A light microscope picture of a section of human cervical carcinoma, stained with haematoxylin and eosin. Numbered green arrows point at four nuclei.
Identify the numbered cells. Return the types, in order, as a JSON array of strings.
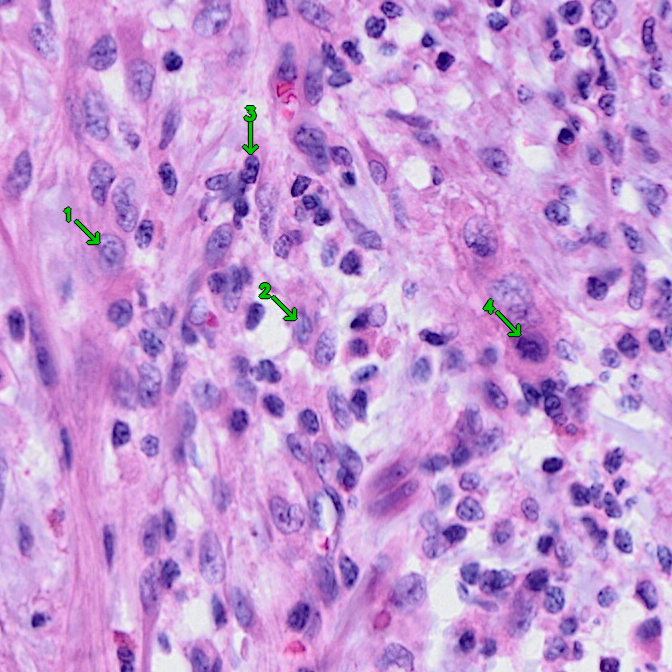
["endothelial cell", "endothelial cell", "lymphocyte", "squamous carcinoma cell"]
